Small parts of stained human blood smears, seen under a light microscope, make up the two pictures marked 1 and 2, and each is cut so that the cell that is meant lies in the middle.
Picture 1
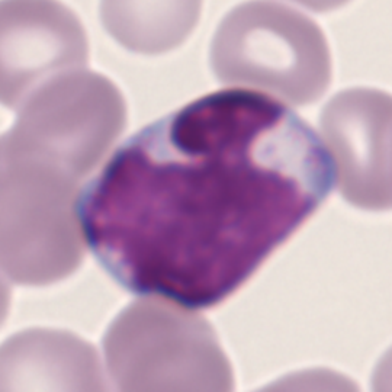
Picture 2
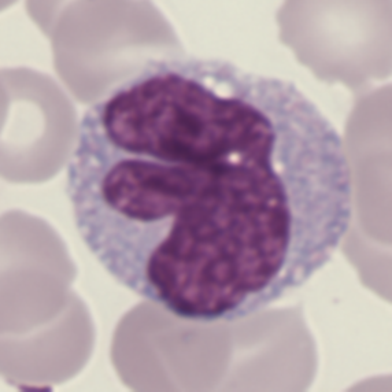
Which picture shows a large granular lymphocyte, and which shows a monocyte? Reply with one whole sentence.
Picture 1 is of a large granular lymphocyte, and picture 2 is of a monocyte.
